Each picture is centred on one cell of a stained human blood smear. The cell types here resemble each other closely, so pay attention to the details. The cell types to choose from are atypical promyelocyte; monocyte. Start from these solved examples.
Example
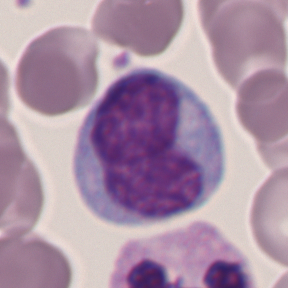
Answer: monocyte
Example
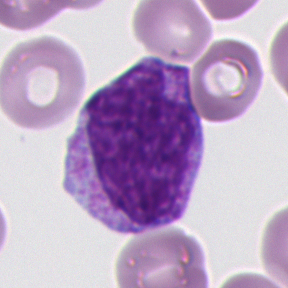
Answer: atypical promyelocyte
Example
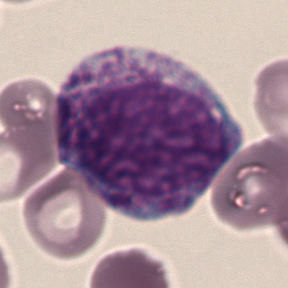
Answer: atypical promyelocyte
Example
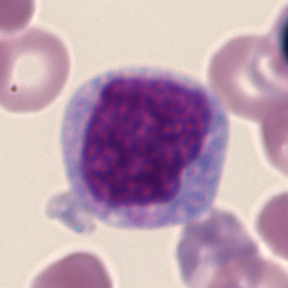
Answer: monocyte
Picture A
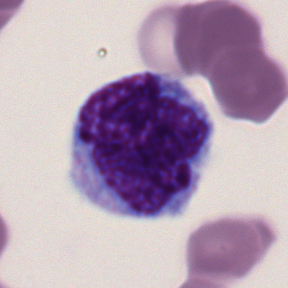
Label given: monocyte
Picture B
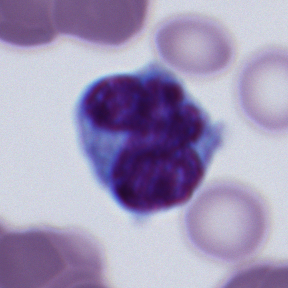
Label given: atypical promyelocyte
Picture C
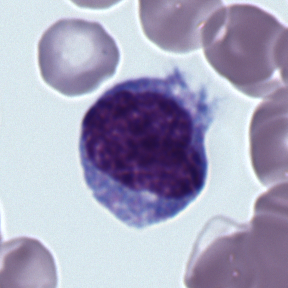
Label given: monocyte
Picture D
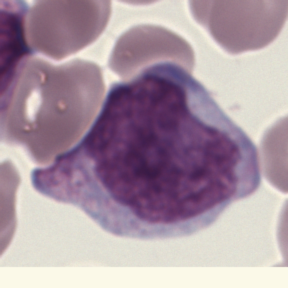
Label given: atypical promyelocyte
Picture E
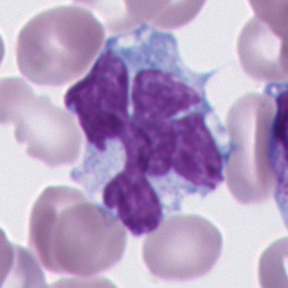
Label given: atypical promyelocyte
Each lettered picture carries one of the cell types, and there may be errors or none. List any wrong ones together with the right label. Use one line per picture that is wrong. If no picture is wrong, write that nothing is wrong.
B: change atypical promyelocyte to monocyte
E: change atypical promyelocyte to monocyte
